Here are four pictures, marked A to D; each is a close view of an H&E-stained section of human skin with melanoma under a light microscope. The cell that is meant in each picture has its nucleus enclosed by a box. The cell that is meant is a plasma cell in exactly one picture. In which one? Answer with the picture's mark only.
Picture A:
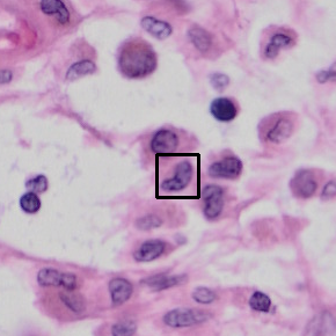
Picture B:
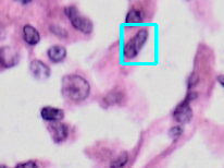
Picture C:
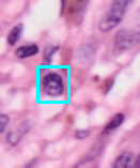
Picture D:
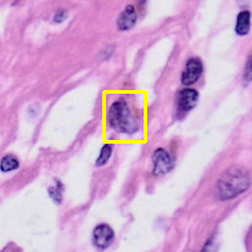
C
